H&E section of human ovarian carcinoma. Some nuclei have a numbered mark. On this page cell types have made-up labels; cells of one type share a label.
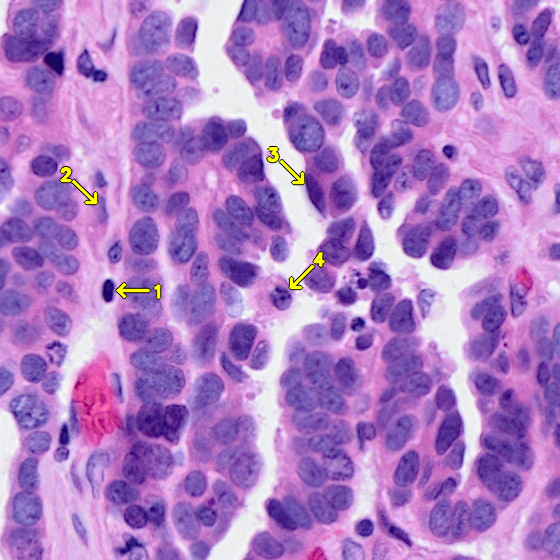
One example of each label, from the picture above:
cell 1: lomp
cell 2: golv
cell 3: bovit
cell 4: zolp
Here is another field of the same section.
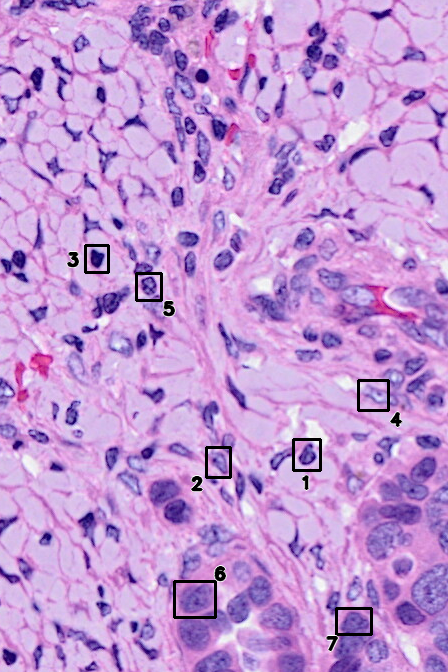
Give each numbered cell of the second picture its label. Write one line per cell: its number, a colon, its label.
1: lomp
2: golv
3: lomp
4: golv
5: lomp
6: bovit
7: bovit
